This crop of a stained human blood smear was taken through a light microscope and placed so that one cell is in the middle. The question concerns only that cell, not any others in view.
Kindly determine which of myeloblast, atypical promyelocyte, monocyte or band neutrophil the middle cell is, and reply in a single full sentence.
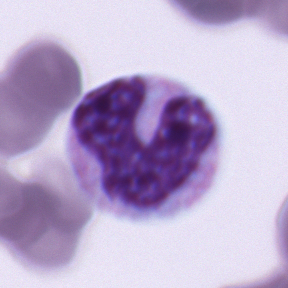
The crop centres on a single cell, and that cell is a band neutrophil.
